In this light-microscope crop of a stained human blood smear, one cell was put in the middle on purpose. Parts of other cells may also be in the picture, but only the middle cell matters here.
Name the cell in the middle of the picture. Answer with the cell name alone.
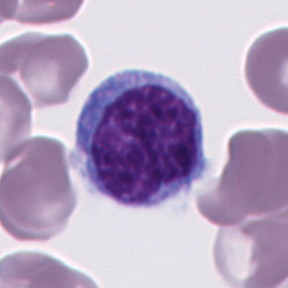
monocyte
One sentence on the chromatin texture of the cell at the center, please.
Just so you know, its chromatin is coarsely clumped.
